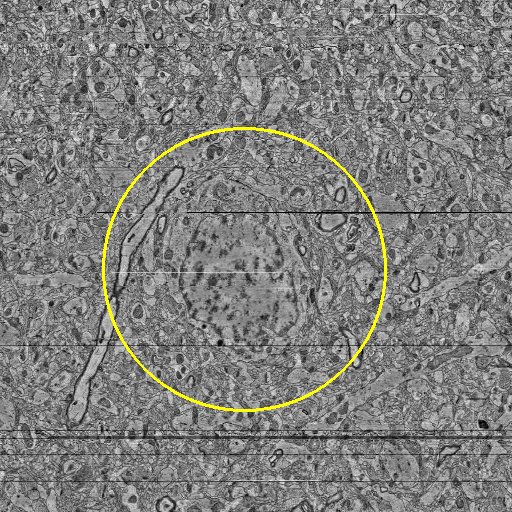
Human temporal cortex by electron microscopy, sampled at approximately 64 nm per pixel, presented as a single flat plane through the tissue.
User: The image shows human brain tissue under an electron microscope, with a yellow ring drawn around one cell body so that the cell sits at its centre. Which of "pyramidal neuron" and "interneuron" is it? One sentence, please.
At the centre of the ring sits an interneuron.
